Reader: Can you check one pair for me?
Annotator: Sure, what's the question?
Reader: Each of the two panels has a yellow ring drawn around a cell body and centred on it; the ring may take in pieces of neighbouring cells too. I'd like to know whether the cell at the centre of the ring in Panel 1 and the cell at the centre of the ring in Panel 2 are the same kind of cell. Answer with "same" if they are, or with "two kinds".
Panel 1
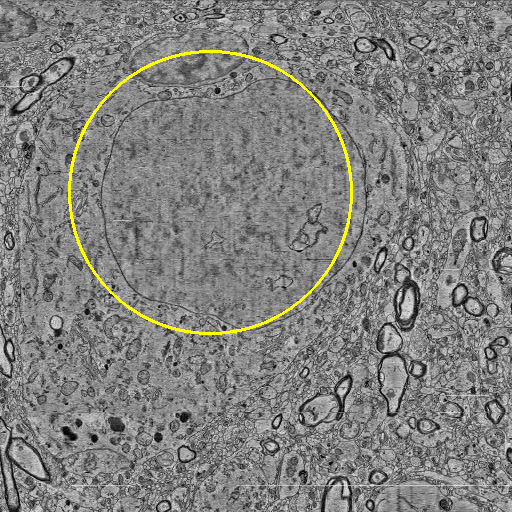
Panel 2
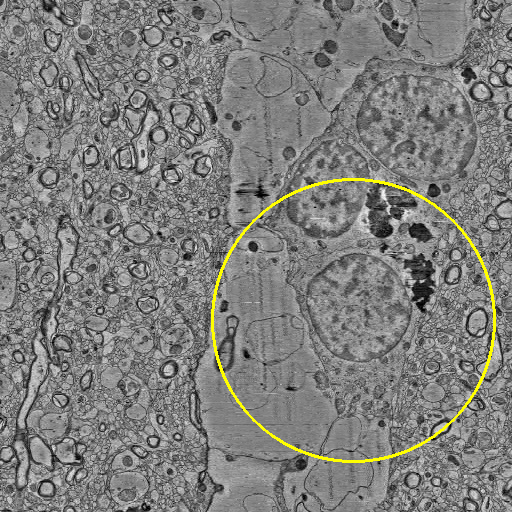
two kinds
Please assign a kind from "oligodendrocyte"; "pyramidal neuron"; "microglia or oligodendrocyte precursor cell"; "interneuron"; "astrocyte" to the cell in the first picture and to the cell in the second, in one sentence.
In the first picture we have a pyramidal neuron, and in the second, an oligodendrocyte.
